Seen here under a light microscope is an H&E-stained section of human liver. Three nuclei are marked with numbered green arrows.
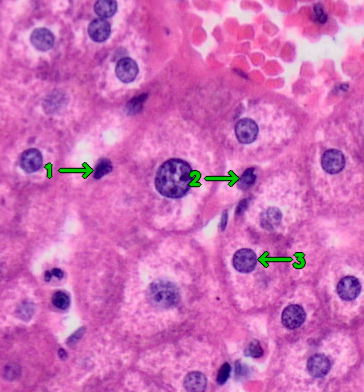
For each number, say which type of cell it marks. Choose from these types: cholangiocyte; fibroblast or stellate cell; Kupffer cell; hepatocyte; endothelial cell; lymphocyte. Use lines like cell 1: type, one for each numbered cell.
cell 1: fibroblast or stellate cell
cell 2: Kupffer cell
cell 3: hepatocyte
